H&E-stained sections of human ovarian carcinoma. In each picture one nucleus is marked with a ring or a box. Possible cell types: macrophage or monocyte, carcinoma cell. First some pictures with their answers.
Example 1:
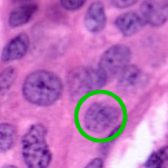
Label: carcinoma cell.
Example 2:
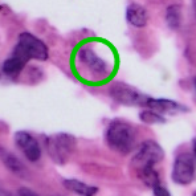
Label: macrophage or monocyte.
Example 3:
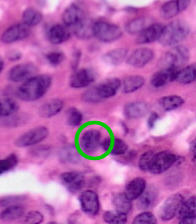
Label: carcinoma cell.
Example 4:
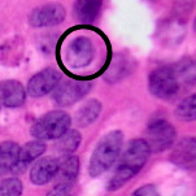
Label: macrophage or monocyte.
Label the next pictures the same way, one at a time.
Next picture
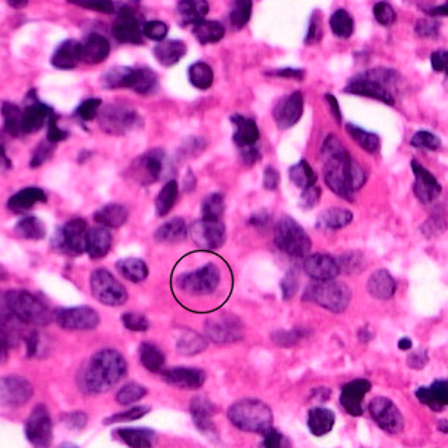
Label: macrophage or monocyte.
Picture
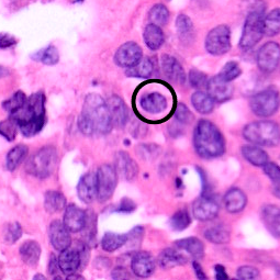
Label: macrophage or monocyte.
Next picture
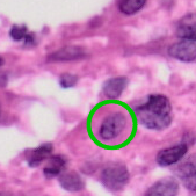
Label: macrophage or monocyte.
